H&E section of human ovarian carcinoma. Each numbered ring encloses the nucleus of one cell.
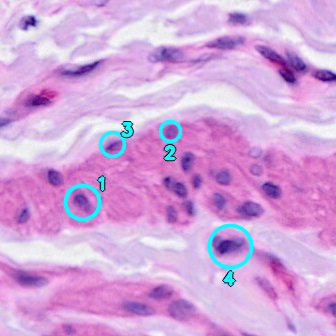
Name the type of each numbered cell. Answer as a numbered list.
1. smooth muscle cell
2. smooth muscle cell
3. smooth muscle cell
4. endothelial cell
